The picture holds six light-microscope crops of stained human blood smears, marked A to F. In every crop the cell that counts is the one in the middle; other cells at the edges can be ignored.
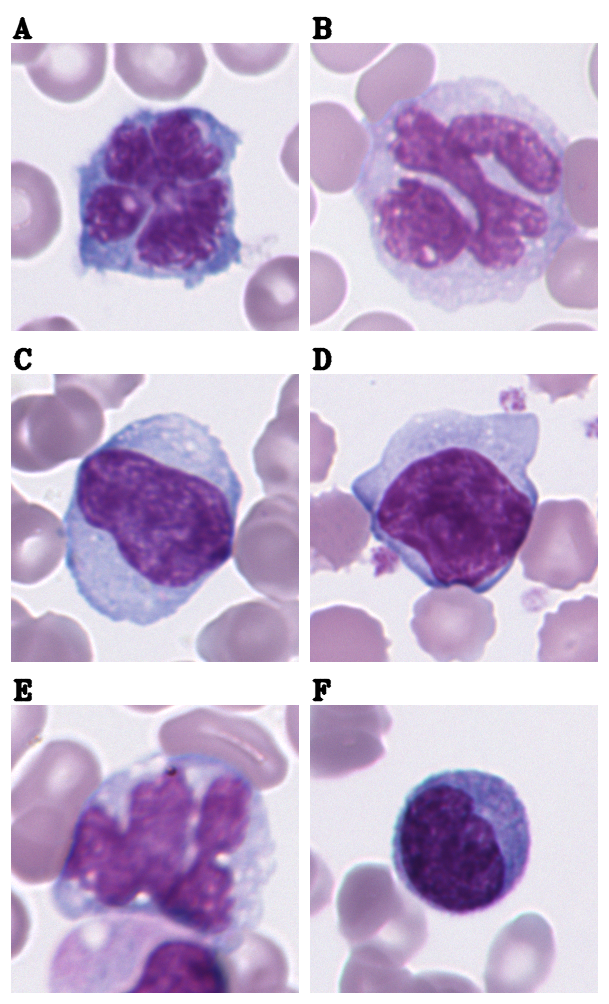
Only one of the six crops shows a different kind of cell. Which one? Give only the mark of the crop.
C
